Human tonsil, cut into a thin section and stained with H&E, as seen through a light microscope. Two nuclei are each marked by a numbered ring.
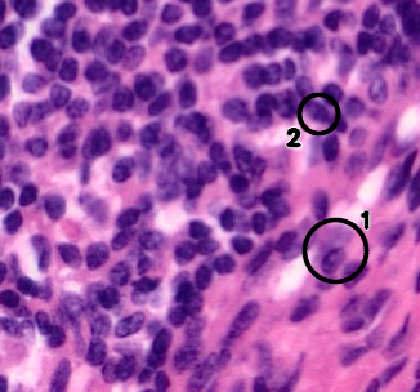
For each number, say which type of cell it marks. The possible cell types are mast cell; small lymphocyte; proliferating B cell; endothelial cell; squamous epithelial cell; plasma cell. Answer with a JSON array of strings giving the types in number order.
["endothelial cell", "small lymphocyte"]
